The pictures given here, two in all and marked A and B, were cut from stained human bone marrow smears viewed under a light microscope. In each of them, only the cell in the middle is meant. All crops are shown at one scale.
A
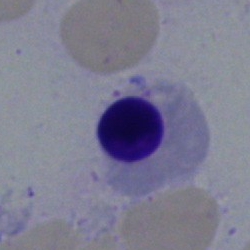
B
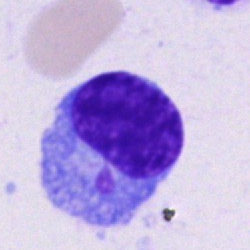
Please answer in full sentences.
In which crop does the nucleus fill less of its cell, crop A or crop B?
In crop A the nucleus takes up the smaller part of its cell.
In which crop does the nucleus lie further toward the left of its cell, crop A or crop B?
In crop A the nucleus is shifted more toward the left.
